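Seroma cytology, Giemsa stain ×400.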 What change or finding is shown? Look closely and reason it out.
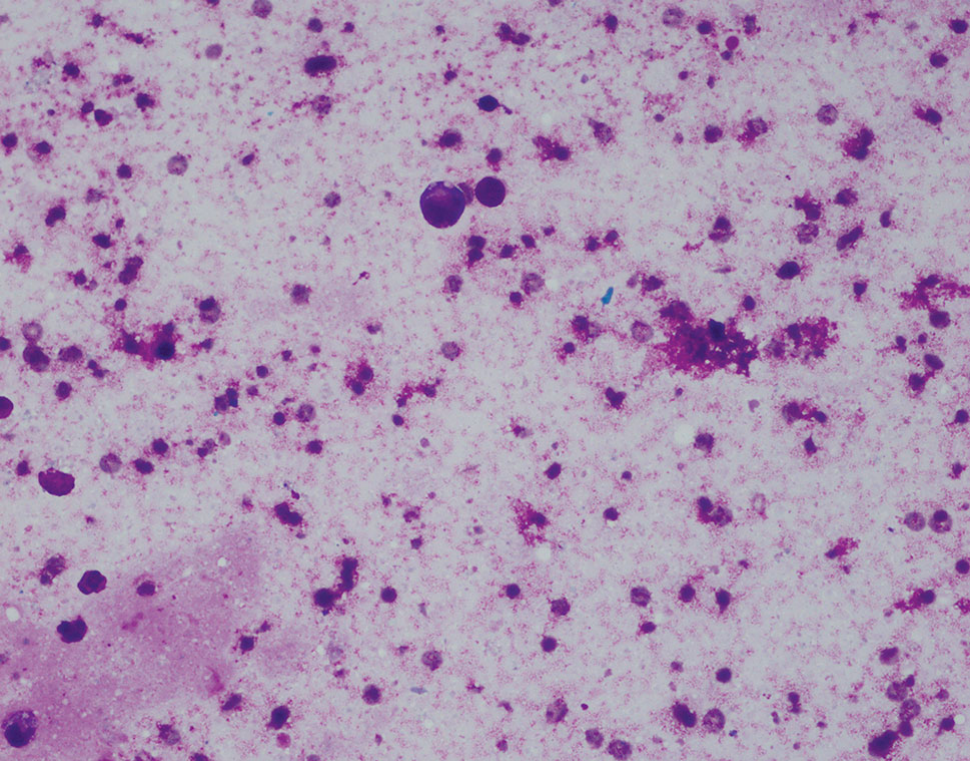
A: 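Fine granular pink-purple material scattered across the whole background. Many small irregular dark fragments with no clear cell outline.
Conclusion: background cellular debris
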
